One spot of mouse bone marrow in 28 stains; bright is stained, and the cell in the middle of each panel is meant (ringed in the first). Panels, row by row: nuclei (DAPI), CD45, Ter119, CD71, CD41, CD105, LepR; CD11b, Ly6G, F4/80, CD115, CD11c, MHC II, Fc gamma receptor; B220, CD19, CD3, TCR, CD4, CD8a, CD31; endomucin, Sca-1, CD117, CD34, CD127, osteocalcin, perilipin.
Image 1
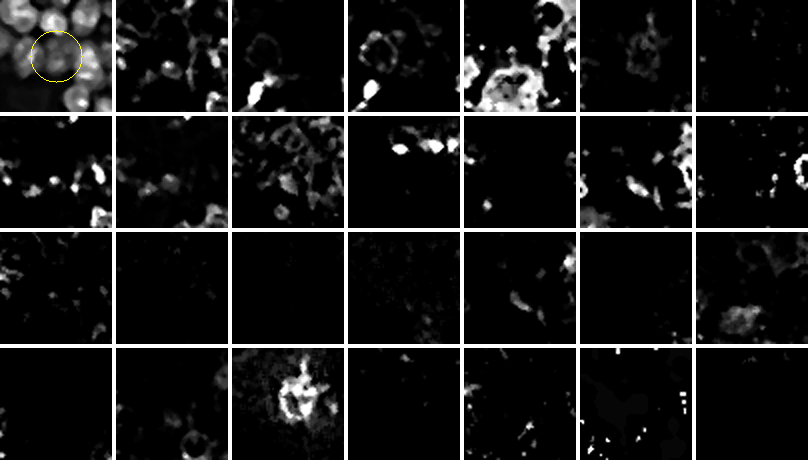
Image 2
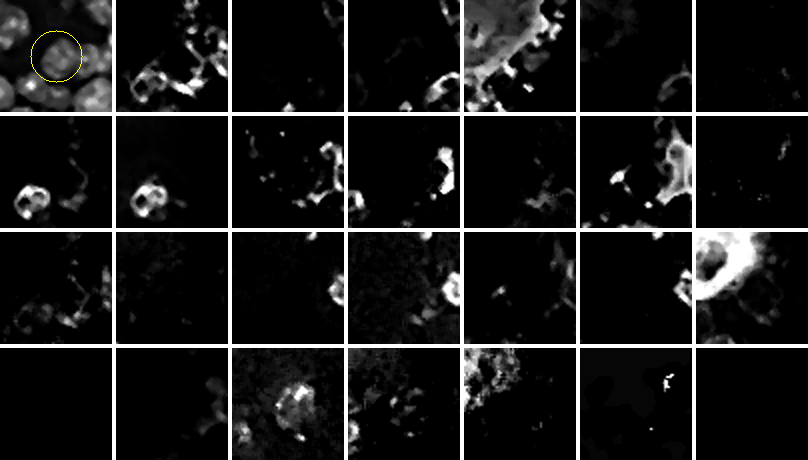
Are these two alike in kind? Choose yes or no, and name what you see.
Yes. Megakaryocyte-erythroid progenitors.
